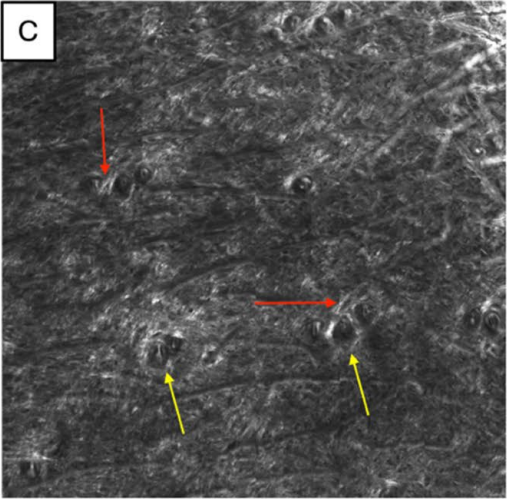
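This grayscale reflectance image of the superficial dermis has no honeycomb of cells. Instead, bright thread-like strands run across a darker background; these are collagen bundles. Some strands lie roughly parallel and some cross each other. A few small round dark structures with bright rims lie scattered among the strands; these are hair follicles.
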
